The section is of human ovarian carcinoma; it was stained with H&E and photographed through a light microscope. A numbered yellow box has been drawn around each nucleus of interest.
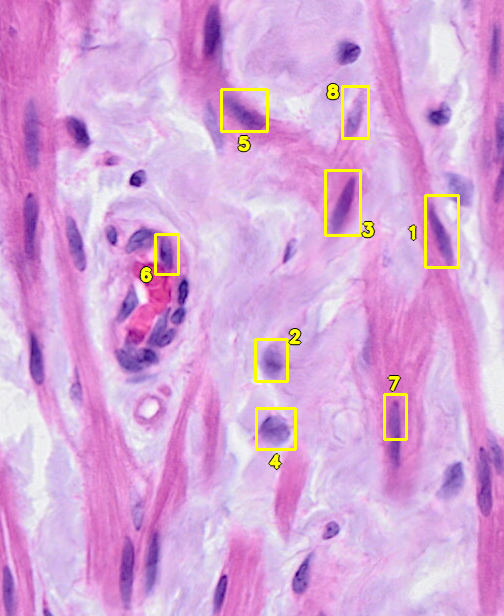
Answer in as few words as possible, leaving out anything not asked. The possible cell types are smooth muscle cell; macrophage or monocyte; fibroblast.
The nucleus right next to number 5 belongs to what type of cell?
smooth muscle cell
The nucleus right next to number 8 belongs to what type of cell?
fibroblast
